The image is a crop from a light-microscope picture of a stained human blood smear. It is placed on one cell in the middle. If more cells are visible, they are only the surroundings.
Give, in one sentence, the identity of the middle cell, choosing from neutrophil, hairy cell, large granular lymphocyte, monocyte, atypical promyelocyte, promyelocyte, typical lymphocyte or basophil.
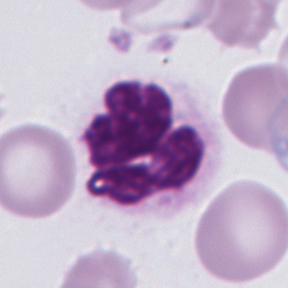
The cell of interest, located centrally, is a neutrophil.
